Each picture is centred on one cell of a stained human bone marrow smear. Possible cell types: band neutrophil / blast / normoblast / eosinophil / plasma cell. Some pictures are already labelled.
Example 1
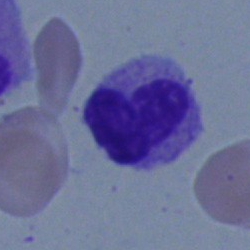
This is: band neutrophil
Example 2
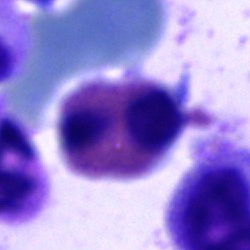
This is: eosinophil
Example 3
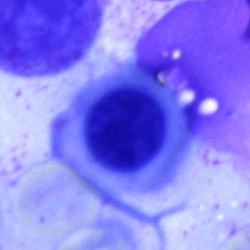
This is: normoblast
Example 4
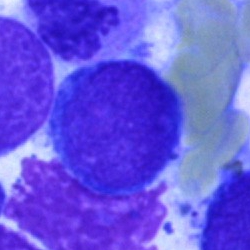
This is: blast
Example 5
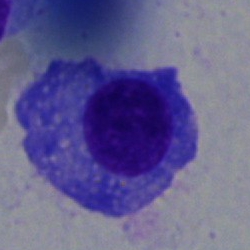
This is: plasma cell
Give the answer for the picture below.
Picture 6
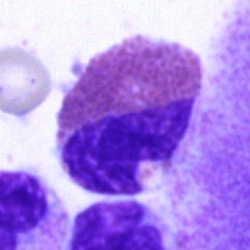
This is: eosinophil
